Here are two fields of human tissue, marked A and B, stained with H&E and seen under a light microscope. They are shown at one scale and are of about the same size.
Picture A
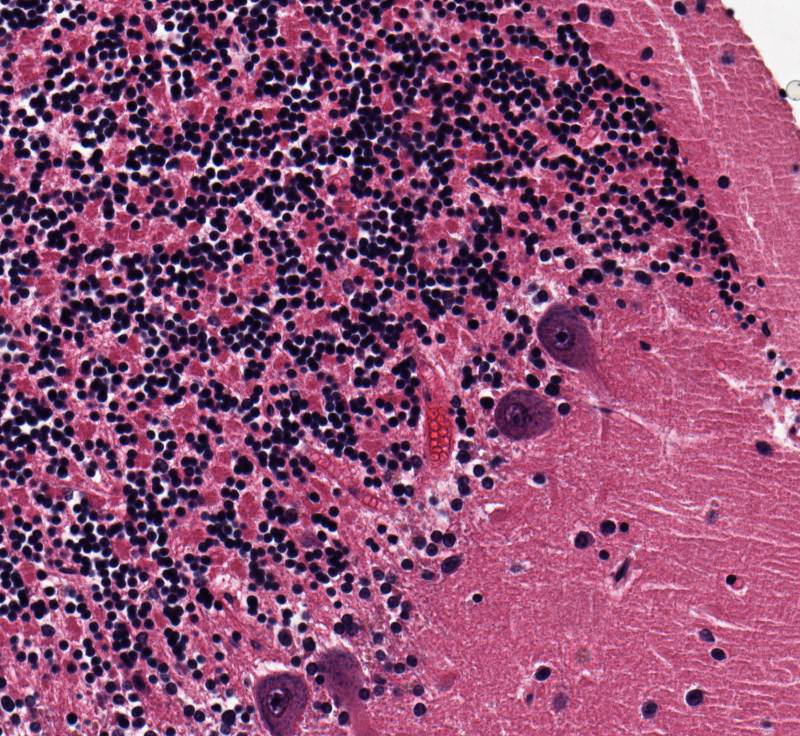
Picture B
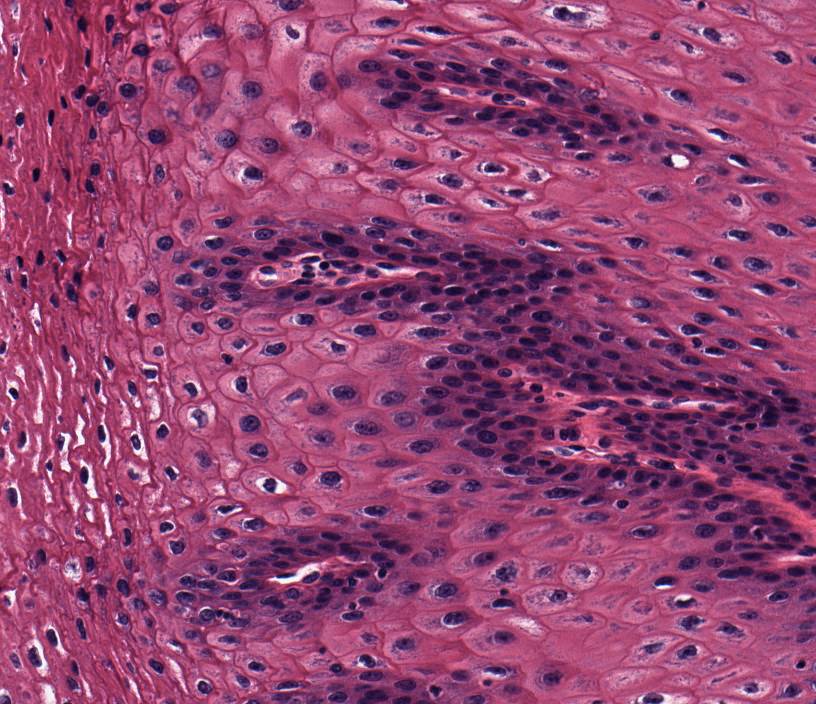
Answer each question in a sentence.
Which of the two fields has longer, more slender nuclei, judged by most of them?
Longer, more slender nuclei lie in picture B.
